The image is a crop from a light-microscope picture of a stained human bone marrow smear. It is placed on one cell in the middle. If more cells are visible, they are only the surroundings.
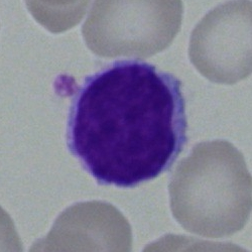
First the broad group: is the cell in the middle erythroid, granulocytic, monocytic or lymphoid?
lymphoid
